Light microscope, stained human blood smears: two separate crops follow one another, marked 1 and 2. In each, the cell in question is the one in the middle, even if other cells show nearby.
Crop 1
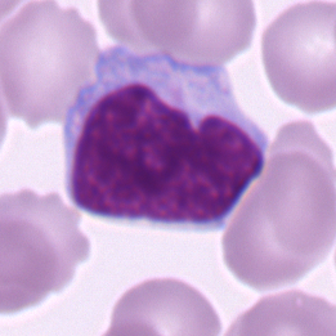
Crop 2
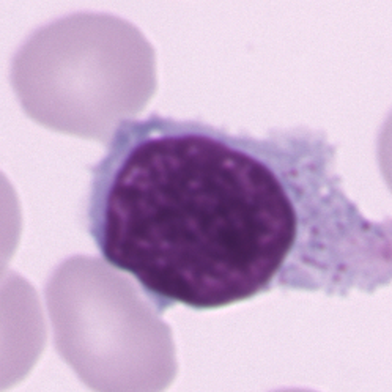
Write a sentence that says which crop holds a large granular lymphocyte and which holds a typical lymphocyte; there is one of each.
Crop 1 is a typical lymphocyte; crop 2, on the other hand, is a large granular lymphocyte.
